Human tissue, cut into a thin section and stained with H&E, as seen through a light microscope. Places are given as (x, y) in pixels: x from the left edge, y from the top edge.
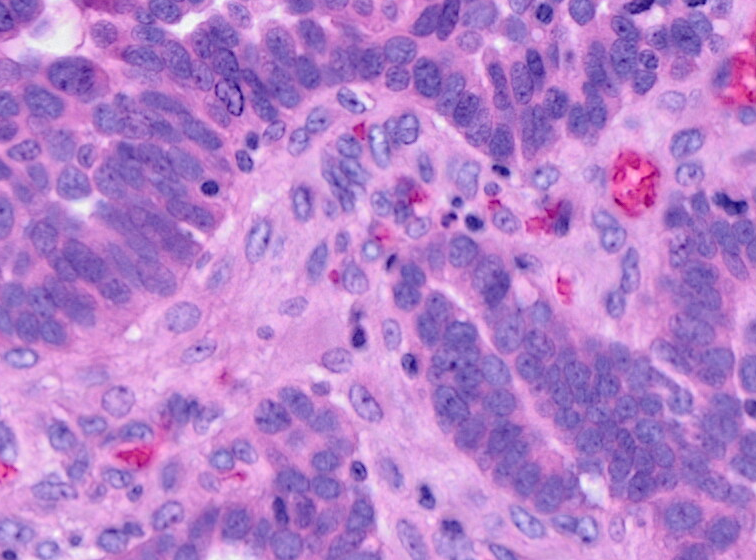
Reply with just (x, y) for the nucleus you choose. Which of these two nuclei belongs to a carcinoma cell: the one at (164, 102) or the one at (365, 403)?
(164, 102)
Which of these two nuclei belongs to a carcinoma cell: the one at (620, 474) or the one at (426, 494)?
(620, 474)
